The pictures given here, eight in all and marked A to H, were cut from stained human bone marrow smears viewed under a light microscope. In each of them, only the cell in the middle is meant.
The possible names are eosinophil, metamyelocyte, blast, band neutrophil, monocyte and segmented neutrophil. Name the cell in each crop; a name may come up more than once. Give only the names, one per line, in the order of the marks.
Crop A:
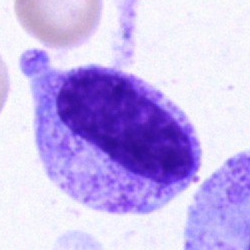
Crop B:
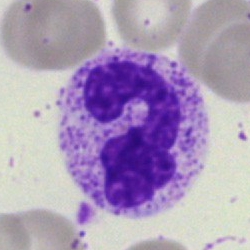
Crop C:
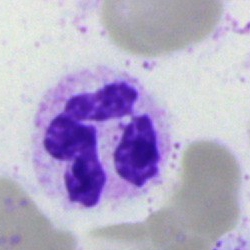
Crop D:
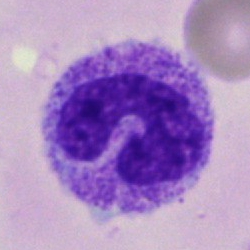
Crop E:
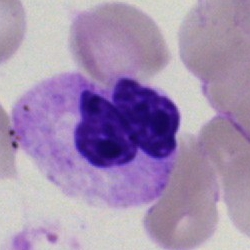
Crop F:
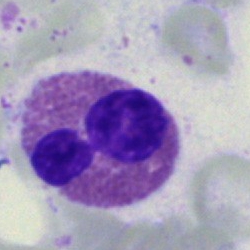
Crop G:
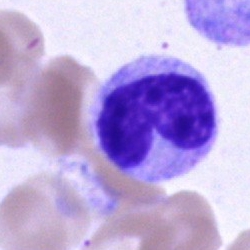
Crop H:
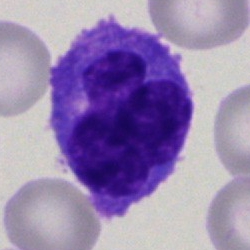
metamyelocyte
segmented neutrophil
segmented neutrophil
band neutrophil
segmented neutrophil
eosinophil
metamyelocyte
monocyte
